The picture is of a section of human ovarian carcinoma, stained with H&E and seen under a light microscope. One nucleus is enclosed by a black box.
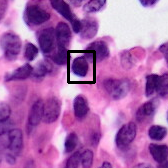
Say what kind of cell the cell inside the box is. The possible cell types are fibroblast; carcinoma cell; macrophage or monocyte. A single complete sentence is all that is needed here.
In this section, the cell inside the box is a carcinoma cell.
